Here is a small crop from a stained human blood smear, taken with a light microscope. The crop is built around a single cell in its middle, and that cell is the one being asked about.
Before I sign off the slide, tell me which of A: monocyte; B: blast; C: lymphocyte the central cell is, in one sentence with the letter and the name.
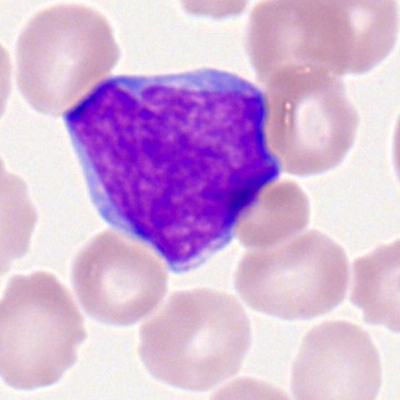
The cell at the centre is a blast, and option B accordingly is correct.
